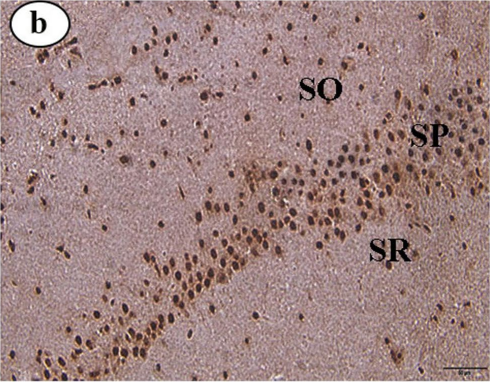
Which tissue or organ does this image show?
Hippocampal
